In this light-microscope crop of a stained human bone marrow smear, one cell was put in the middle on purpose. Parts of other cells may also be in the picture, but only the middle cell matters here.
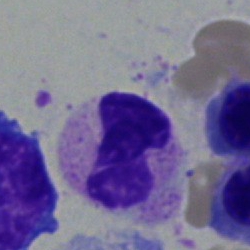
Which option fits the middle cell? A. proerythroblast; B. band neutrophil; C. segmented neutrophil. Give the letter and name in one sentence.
Identification: the cell in the middle is a band neutrophil, matching option B.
